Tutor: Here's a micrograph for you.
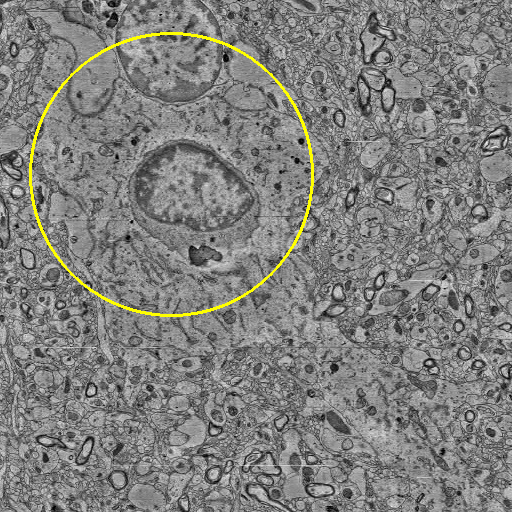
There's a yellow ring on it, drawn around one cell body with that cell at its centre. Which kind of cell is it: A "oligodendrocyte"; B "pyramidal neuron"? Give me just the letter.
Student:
A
